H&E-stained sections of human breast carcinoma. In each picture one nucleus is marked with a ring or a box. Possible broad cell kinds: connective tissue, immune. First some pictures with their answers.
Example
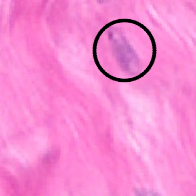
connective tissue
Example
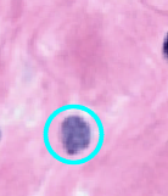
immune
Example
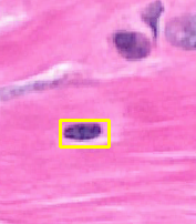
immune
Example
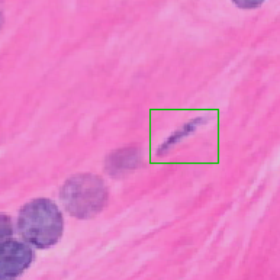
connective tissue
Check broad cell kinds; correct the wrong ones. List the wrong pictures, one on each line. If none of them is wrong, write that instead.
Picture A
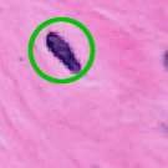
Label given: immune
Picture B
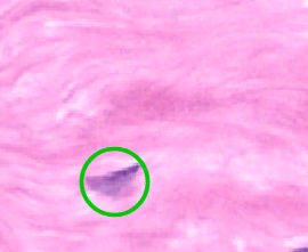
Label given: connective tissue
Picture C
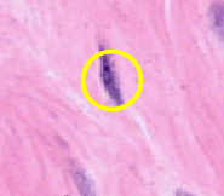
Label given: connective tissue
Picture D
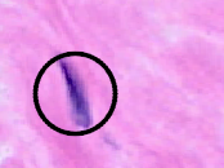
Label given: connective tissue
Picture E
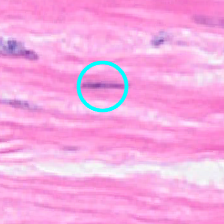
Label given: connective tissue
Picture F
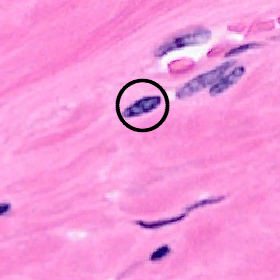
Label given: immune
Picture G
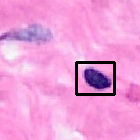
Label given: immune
All labels are correct.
